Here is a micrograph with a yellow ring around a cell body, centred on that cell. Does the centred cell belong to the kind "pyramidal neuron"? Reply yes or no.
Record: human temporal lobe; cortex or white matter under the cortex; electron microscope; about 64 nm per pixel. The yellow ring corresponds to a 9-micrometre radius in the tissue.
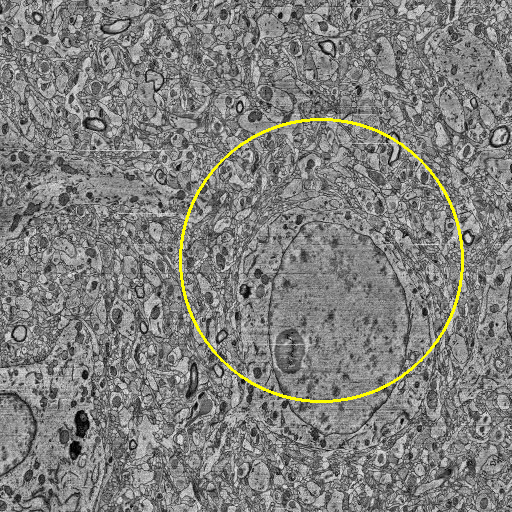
yes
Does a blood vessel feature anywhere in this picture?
No, no blood vessel shows in the picture.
